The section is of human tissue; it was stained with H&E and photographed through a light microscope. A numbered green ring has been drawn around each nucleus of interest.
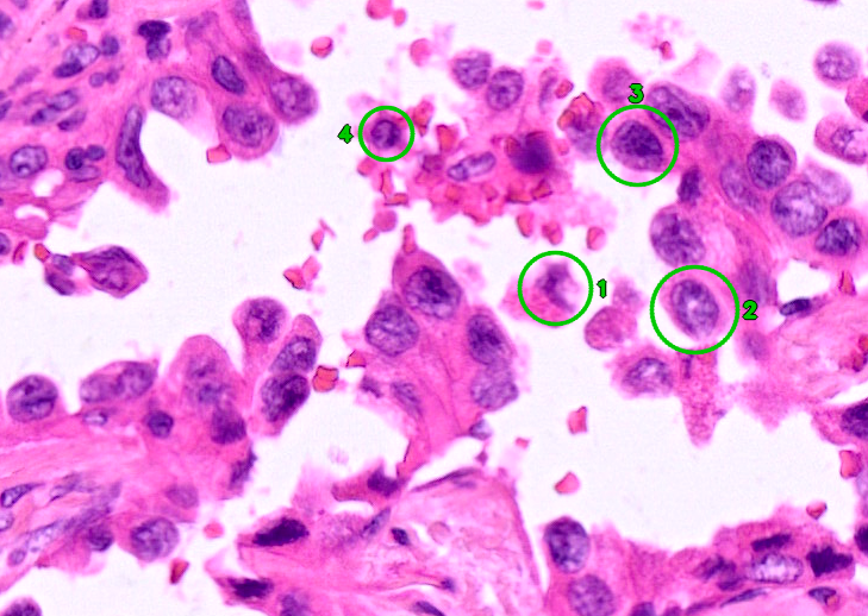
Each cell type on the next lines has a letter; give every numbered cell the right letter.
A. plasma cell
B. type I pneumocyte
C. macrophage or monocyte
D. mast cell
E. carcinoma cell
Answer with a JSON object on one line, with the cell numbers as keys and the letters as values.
{"1": "E", "2": "E", "3": "E", "4": "C"}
